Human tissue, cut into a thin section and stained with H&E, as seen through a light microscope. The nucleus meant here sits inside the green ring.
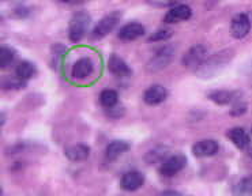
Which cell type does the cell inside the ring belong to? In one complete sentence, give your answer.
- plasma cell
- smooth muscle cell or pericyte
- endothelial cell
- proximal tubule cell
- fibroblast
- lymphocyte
Cell type answer for this item: the cell inside the ring is a plasma cell.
